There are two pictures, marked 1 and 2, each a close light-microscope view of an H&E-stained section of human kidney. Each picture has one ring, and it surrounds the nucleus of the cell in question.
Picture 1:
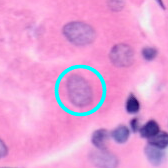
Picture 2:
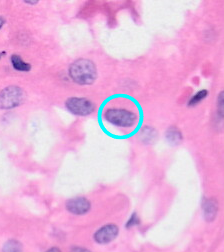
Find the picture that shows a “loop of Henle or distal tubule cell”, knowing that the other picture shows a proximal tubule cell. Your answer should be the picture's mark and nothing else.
2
